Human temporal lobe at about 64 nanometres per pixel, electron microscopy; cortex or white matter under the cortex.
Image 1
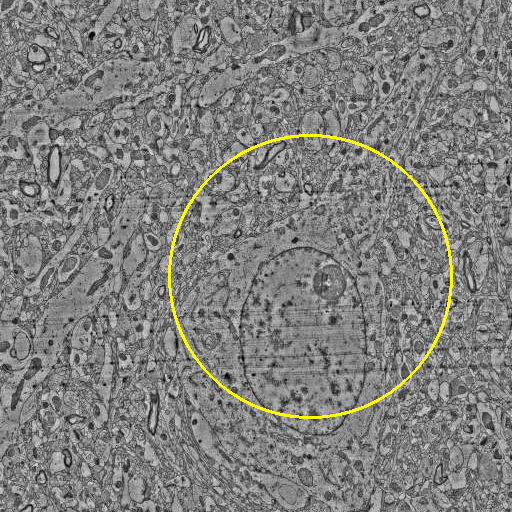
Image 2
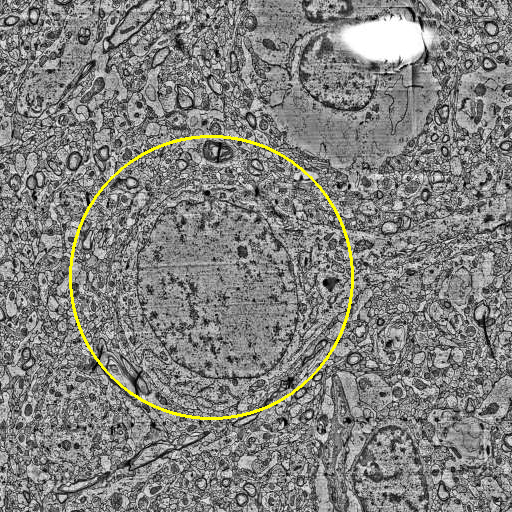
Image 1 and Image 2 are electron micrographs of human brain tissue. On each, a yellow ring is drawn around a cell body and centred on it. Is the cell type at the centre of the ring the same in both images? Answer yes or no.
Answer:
yes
